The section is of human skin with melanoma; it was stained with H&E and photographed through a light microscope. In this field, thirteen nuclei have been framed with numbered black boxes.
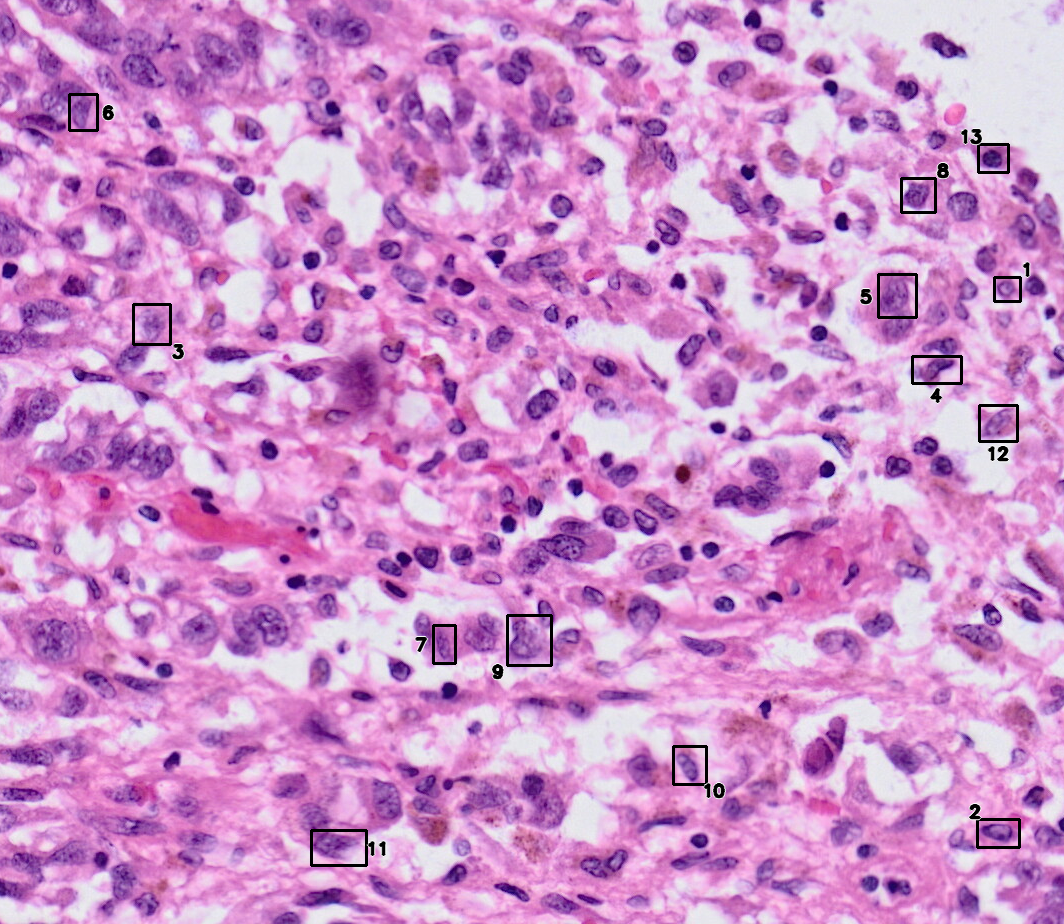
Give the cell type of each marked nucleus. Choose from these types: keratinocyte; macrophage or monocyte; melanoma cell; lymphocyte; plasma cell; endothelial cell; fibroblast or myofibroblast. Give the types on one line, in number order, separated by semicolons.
macrophage or monocyte; macrophage or monocyte; melanoma cell; macrophage or monocyte; melanoma cell; melanoma cell; melanoma cell; melanoma cell; melanoma cell; macrophage or monocyte; melanoma cell; macrophage or monocyte; plasma cell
